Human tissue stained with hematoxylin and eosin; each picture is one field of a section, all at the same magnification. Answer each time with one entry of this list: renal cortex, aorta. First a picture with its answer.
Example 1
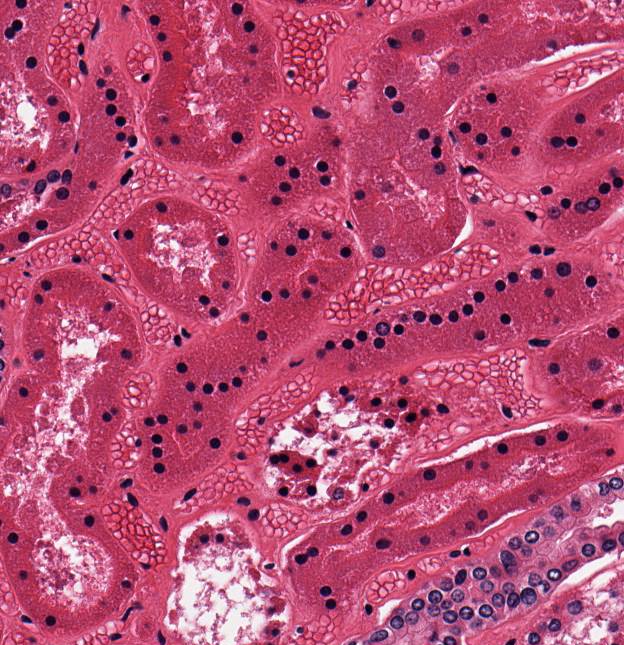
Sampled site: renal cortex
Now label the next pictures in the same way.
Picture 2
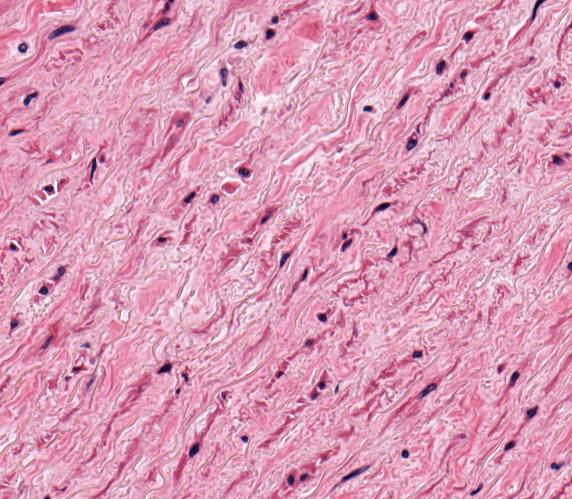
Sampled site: aorta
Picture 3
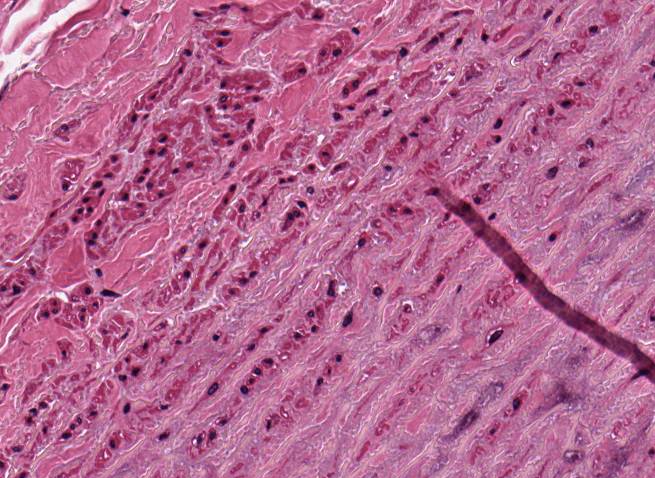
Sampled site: aorta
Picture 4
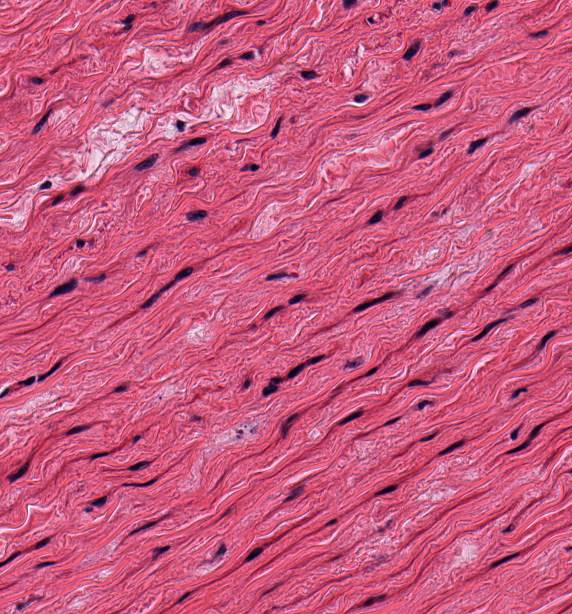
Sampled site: aorta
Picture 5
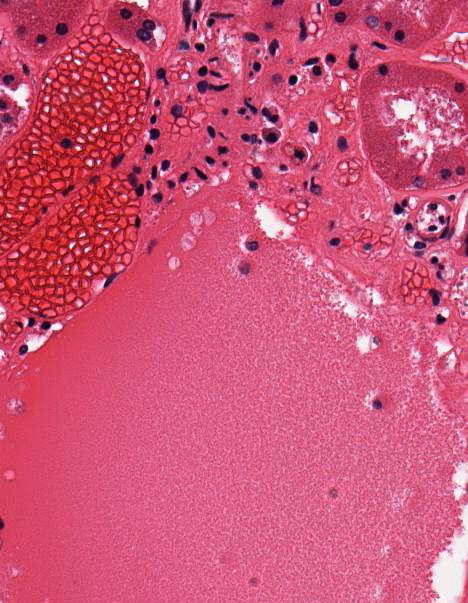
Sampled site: renal cortex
